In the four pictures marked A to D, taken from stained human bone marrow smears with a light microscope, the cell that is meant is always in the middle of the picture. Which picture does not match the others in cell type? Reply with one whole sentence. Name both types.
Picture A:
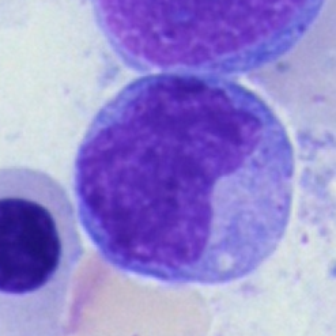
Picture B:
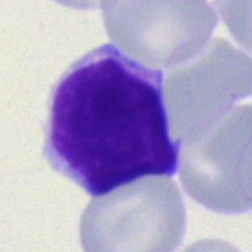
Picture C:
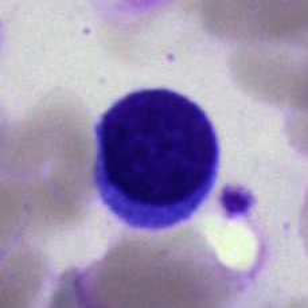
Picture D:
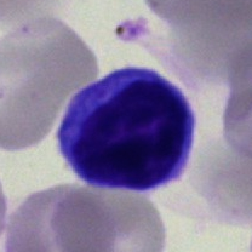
Picture A differs, because its cell is a monocyte and the rest are lymphocytes.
